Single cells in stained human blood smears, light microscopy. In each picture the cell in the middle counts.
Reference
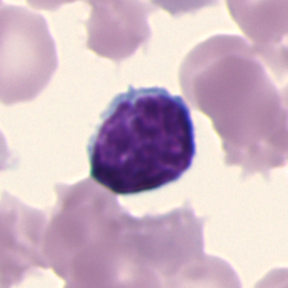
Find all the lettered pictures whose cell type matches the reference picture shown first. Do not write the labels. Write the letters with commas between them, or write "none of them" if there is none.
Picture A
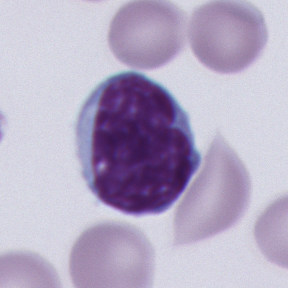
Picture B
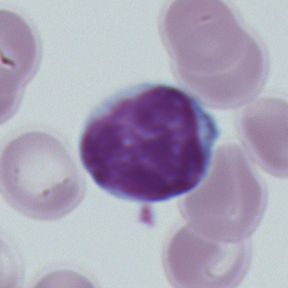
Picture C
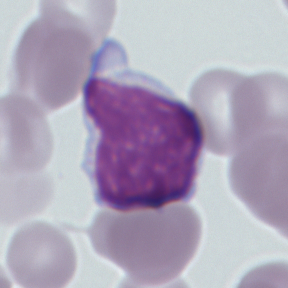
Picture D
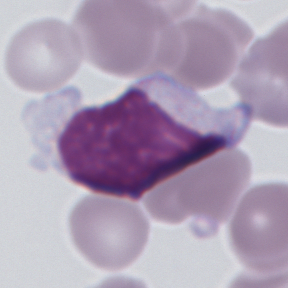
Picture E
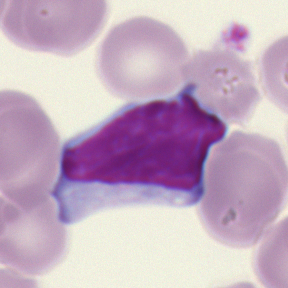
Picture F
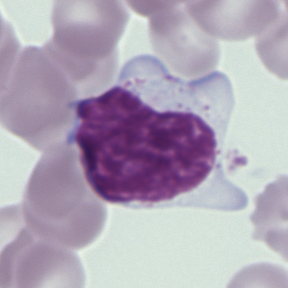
A, B, E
